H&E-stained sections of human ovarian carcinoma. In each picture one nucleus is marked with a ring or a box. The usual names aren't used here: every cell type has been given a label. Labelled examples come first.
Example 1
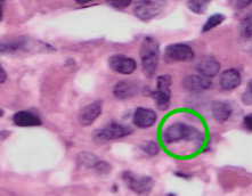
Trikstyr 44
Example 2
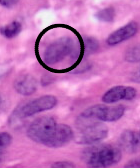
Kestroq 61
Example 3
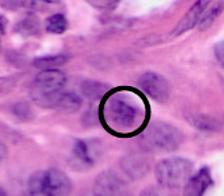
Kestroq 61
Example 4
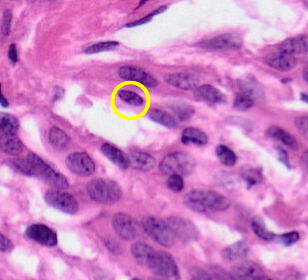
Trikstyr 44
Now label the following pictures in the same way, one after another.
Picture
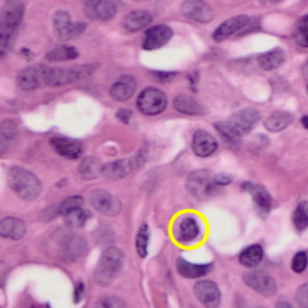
Trikstyr 44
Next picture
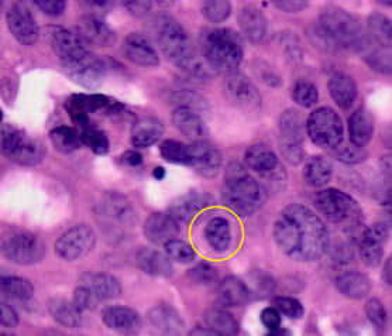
Trikstyr 44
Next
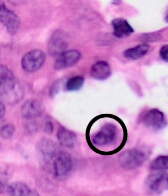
Trikstyr 44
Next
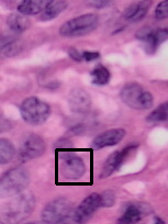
Trikstyr 44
